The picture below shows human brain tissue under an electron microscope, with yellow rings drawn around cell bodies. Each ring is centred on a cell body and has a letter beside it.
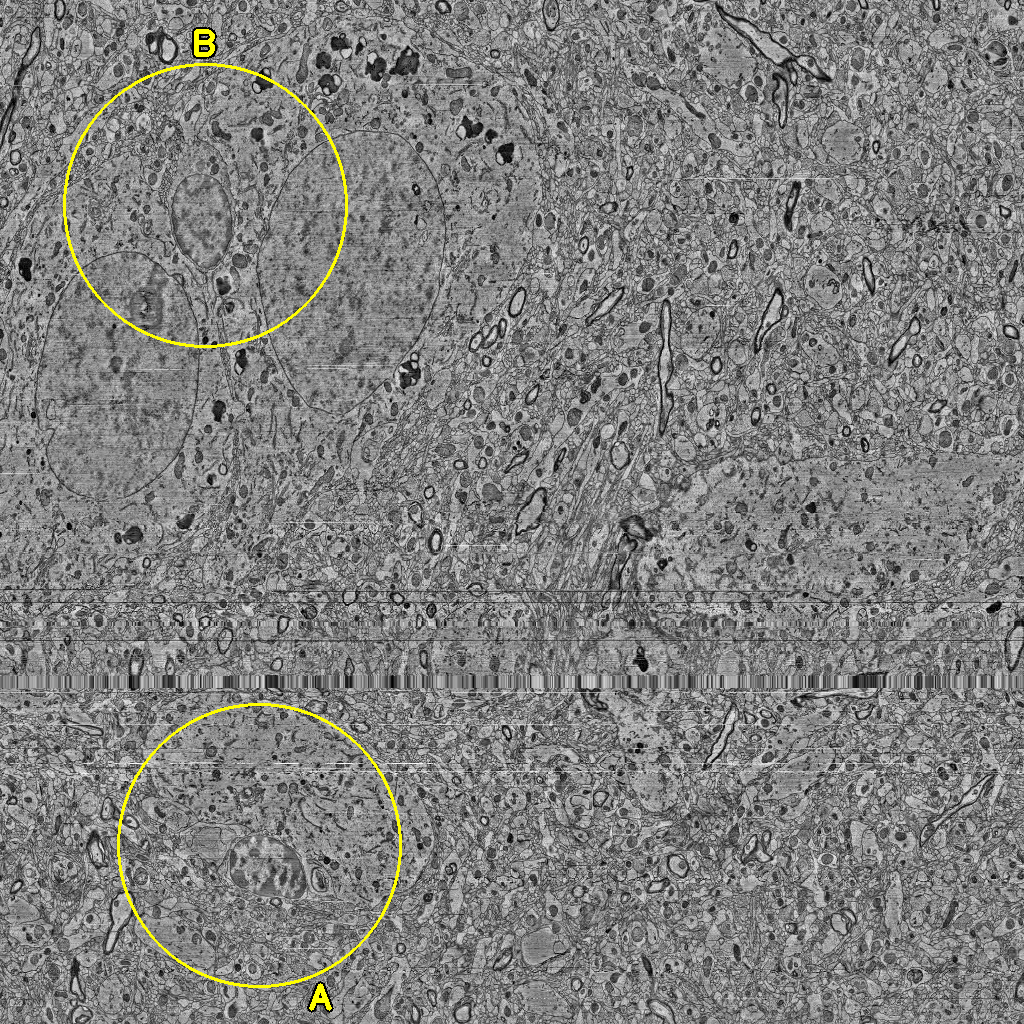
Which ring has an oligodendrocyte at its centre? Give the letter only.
B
